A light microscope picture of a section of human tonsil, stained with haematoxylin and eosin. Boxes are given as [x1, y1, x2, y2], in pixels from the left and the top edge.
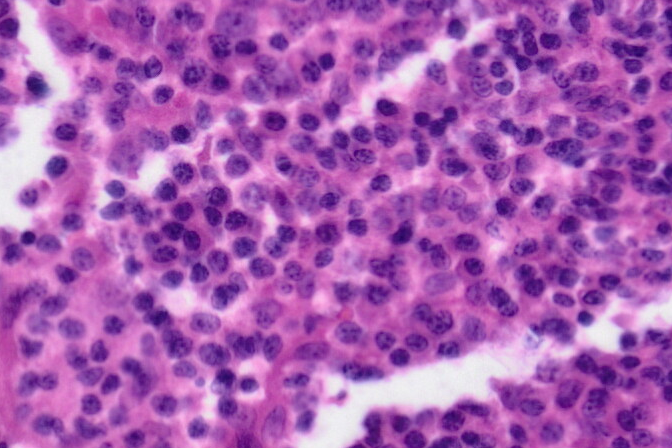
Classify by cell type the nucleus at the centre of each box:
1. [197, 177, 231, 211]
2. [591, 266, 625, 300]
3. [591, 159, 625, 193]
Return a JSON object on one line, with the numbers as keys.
{"1": "plasma cell", "2": "plasma cell", "3": "squamous epithelial cell"}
